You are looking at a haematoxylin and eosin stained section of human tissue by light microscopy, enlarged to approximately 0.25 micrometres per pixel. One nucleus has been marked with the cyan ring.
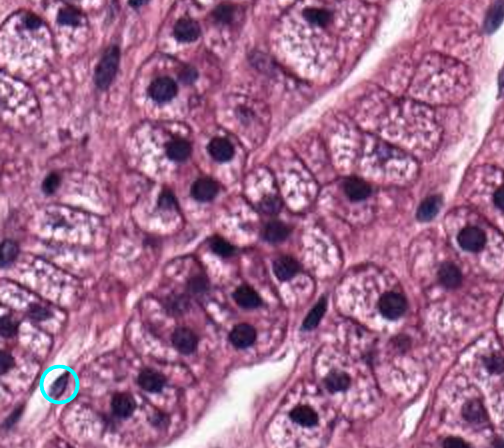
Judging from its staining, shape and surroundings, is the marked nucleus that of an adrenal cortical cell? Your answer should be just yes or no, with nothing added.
no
